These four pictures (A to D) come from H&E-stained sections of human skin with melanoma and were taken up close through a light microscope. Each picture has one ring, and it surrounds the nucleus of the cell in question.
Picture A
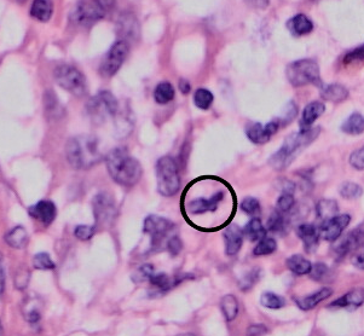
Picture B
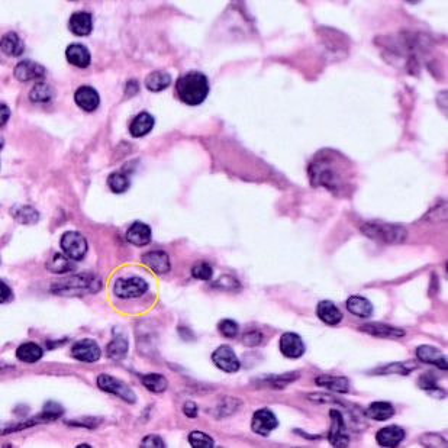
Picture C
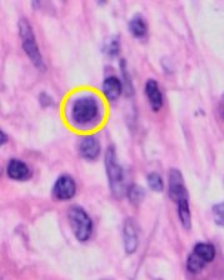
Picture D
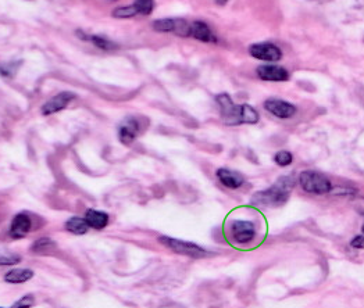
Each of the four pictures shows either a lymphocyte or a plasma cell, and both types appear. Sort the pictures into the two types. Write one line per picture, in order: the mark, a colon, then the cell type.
A: lymphocyte
B: lymphocyte
C: plasma cell
D: plasma cell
